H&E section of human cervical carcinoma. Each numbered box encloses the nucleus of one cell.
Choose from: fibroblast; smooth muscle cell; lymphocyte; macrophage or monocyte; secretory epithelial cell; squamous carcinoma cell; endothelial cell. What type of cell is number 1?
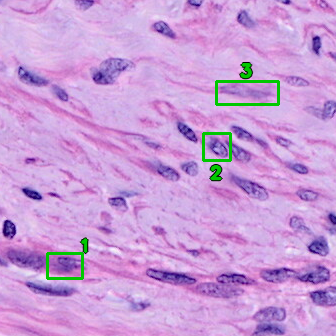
endothelial cell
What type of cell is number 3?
smooth muscle cell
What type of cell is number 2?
smooth muscle cell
